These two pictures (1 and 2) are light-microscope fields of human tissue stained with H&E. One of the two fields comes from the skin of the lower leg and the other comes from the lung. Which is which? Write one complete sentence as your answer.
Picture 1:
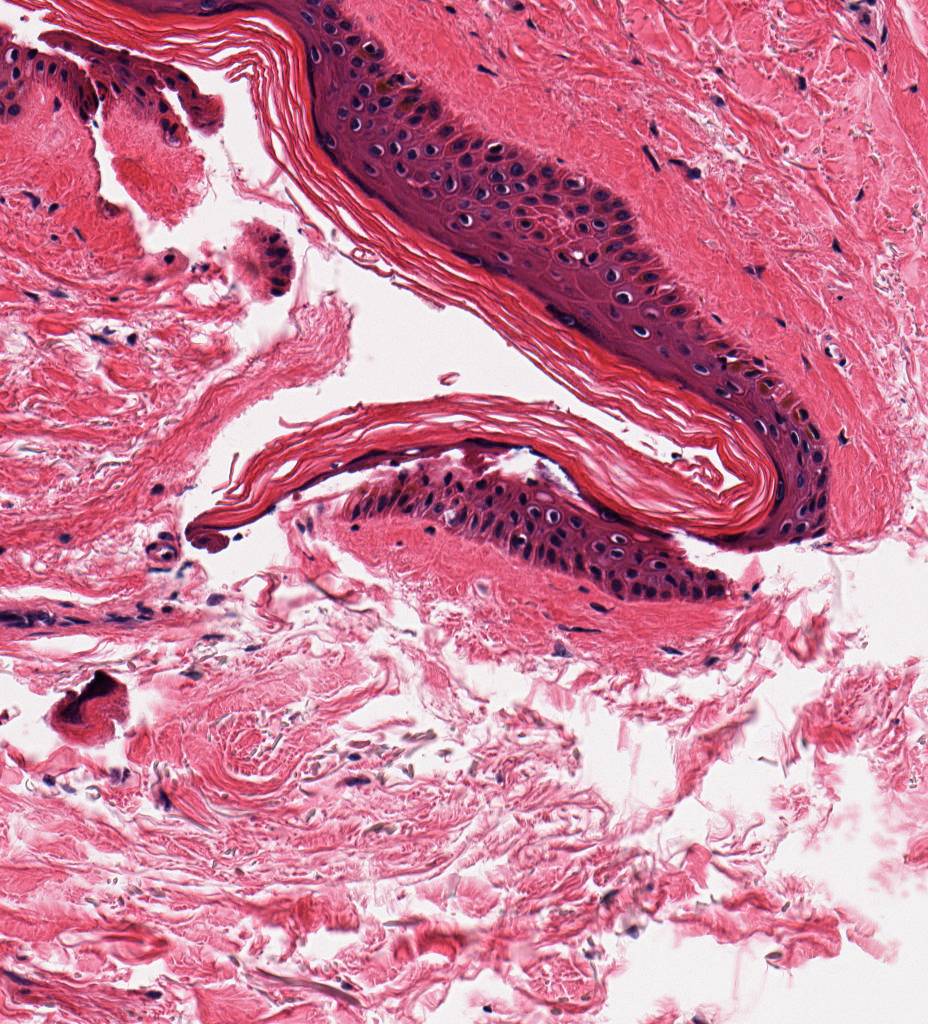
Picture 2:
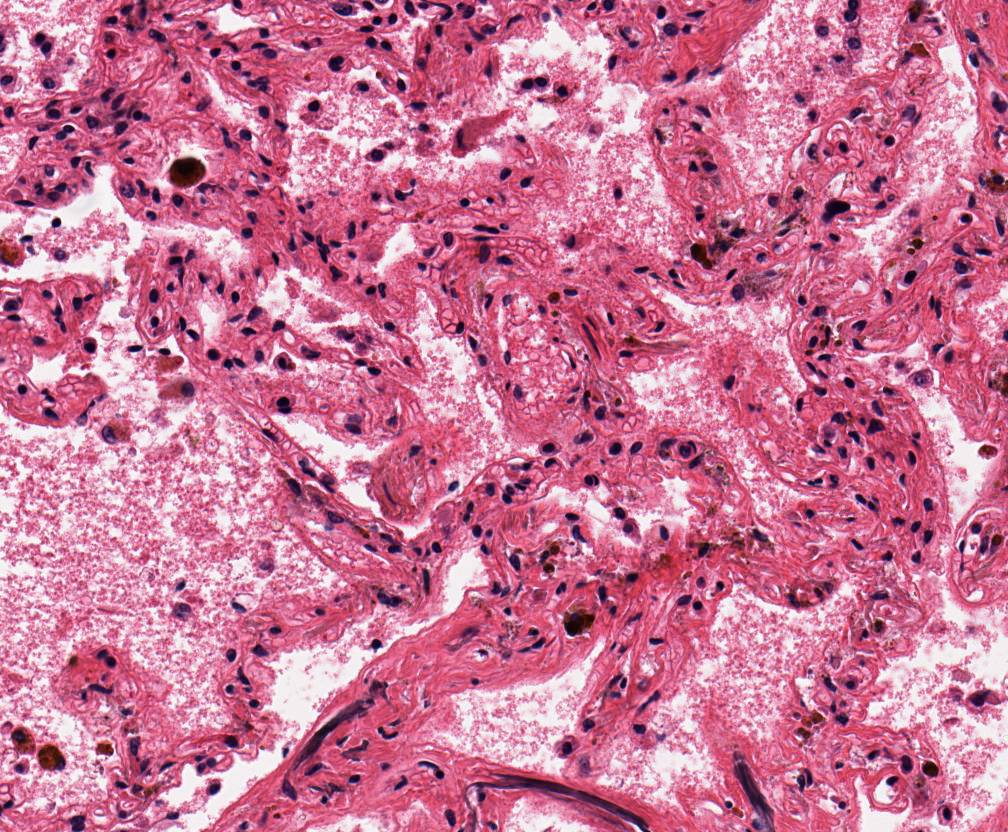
Picture 1 comes from the skin of the lower leg; picture 2 comes from the lung.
